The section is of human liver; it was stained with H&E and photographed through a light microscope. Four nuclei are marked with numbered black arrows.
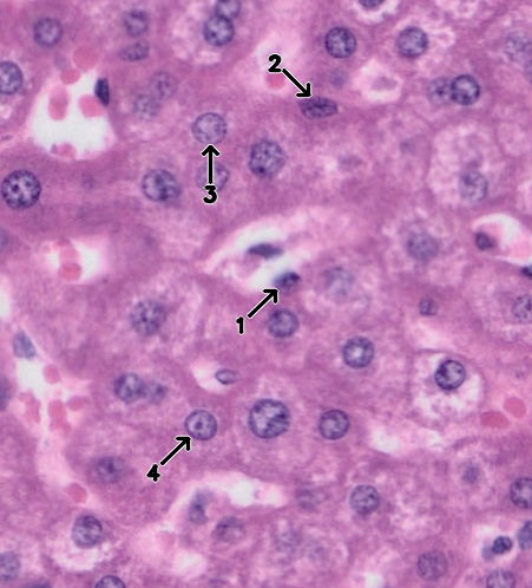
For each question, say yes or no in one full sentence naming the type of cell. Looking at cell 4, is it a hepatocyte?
Yes, the cell shown as number 4 is a hepatocyte.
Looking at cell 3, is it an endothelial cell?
No, number 3 is not an endothelial cell; it is a hepatocyte.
